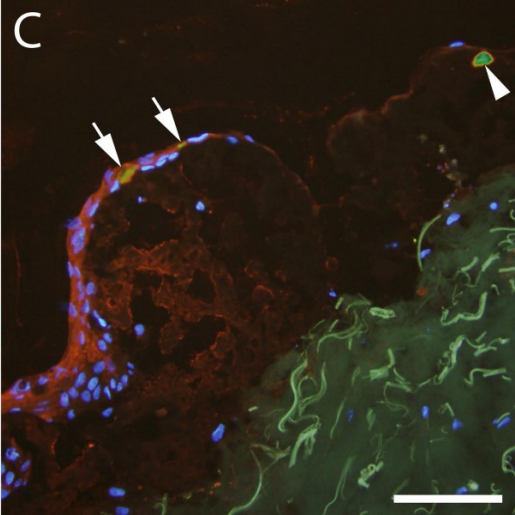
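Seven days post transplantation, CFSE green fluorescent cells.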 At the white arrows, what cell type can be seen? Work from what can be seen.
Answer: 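Keratinocytes. The marked cells are red and also carry a green-yellow signal. The layer they lie in is a compact epithelial sheet covering the tissue beneath.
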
